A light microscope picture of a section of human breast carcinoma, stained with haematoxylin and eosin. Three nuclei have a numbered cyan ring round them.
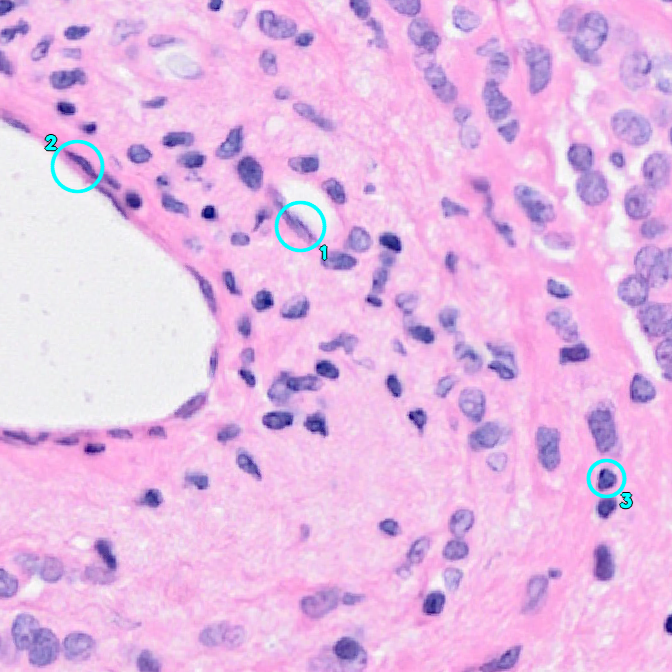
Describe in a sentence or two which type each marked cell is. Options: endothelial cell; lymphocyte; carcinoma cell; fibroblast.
Cells 1 and 2 are endothelial cells. Cell 3 is a lymphocyte.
